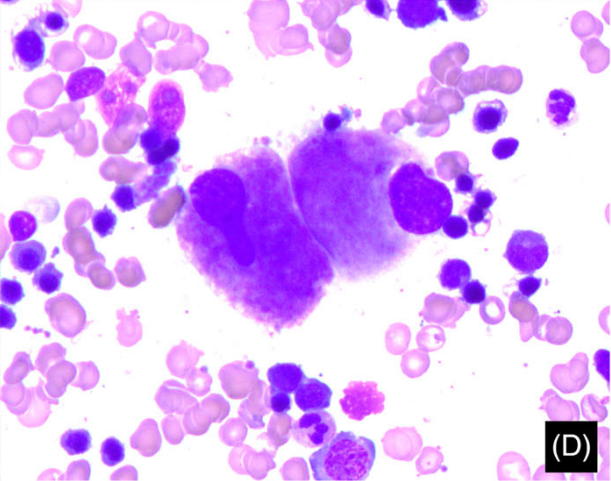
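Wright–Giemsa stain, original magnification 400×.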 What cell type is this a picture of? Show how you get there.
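Two very large cells with abundant pale lilac granular cytoplasm lie side by side. Each has a single compact nucleus without multiple lobes.
Hence: hypolobulated megakaryocytes.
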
